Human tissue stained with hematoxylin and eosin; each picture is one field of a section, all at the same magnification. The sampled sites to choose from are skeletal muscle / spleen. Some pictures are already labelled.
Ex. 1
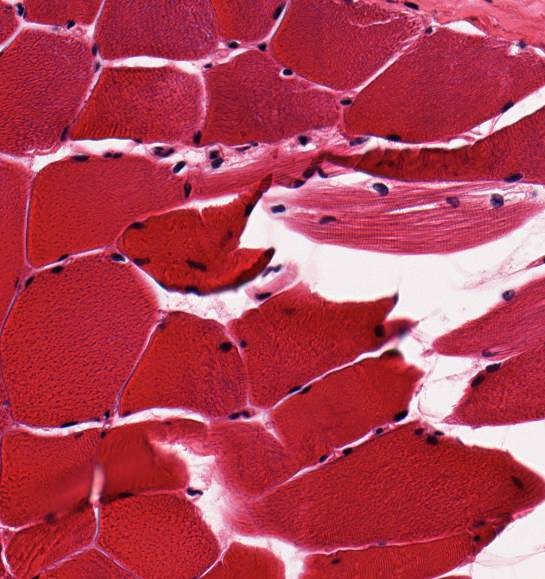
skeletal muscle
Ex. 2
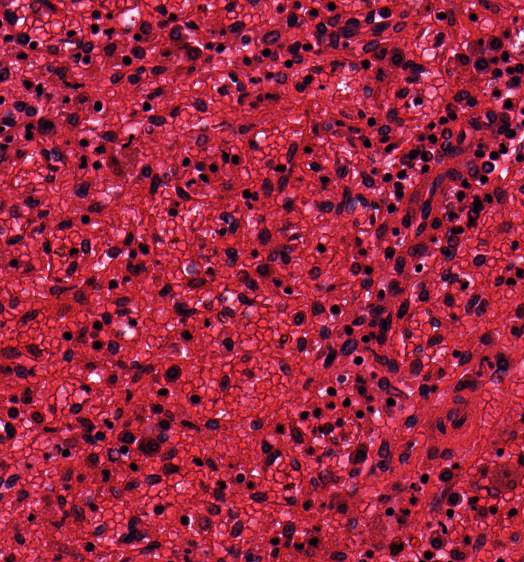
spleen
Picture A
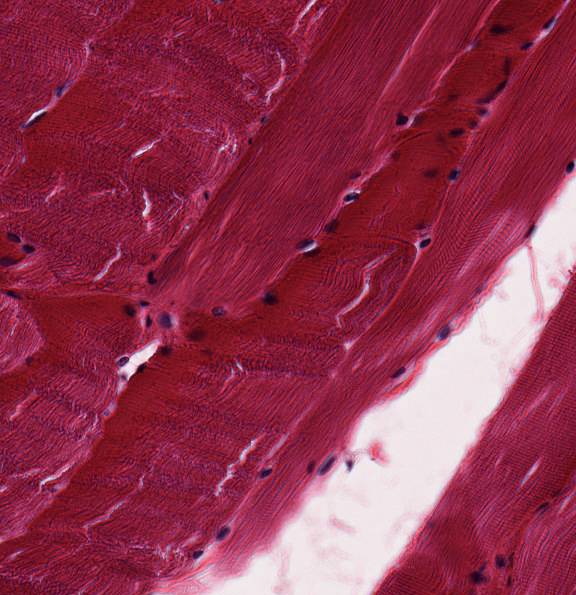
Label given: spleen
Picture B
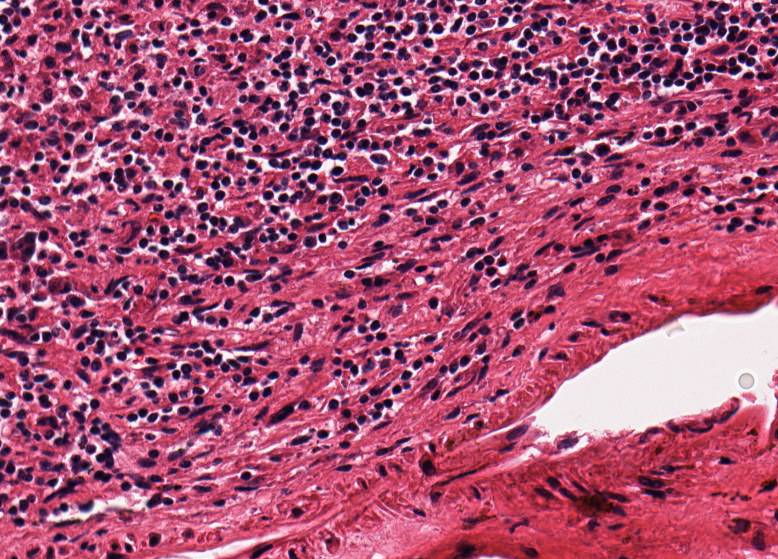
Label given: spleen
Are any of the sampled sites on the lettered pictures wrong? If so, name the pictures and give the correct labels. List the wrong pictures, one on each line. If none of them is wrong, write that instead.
A: change spleen to skeletal muscle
